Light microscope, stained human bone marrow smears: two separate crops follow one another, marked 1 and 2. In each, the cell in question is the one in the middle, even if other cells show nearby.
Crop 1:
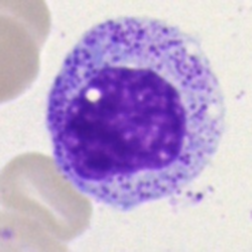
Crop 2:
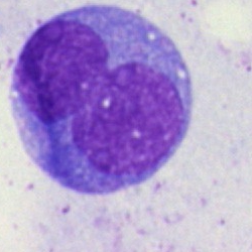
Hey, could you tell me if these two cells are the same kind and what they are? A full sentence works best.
No, a myelocyte is what crop 1 shows, and a monocyte is what crop 2 shows.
